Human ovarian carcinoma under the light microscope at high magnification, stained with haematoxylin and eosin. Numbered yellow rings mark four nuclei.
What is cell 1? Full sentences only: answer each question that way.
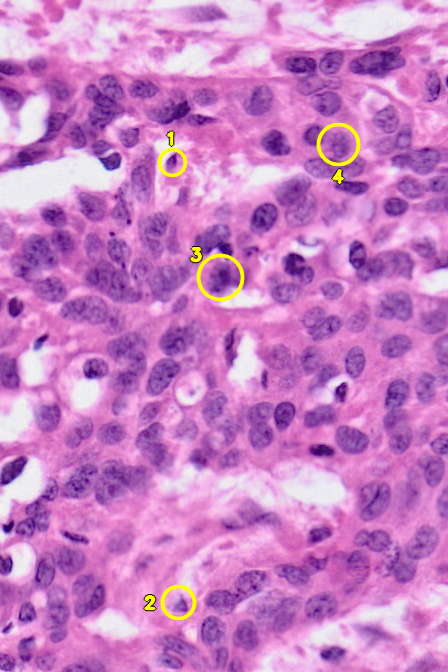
The cell to which the number 1 is assigned is a carcinoma cell.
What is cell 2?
Among the marked cells, number 2 is a macrophage or monocyte.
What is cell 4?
Within this field of view, the cell labelled 4 is a carcinoma cell.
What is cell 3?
Cell number 3 in this section is a carcinoma cell.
